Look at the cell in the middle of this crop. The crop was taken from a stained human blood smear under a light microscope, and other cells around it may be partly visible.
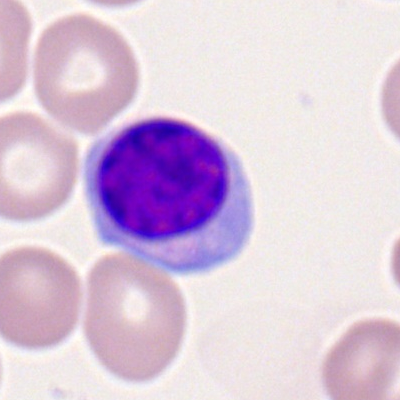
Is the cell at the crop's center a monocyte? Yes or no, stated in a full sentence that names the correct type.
No, the cell located centrally is a lymphocyte rather than a monocyte.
